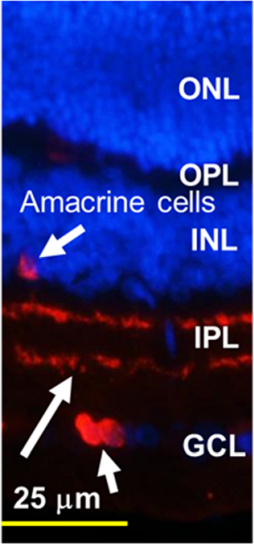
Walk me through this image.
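At the top lies a thick band of densely packed blue nuclei, then a thin darker plexiform band, then a second band of blue nuclei, at whose inner edge sits a small red cell body. Below it a nearly nucleus-free layer is crossed by two thin, parallel red bands formed by the processes of these cells. At the bottom, in the innermost row of nuclei, a pair of rounded red cell bodies lies beside a blue nucleus.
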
